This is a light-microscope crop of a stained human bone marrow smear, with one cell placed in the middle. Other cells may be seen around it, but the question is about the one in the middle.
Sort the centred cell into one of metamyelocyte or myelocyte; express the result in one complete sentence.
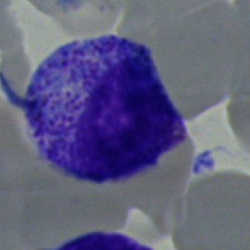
As for the cell in the middle, it is a myelocyte.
